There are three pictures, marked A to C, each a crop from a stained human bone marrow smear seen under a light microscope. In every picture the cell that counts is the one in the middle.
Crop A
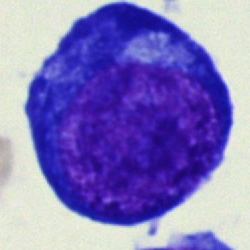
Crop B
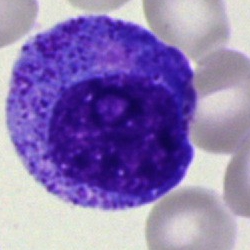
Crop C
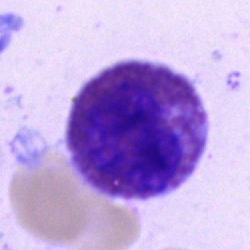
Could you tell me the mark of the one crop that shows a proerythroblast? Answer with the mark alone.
A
